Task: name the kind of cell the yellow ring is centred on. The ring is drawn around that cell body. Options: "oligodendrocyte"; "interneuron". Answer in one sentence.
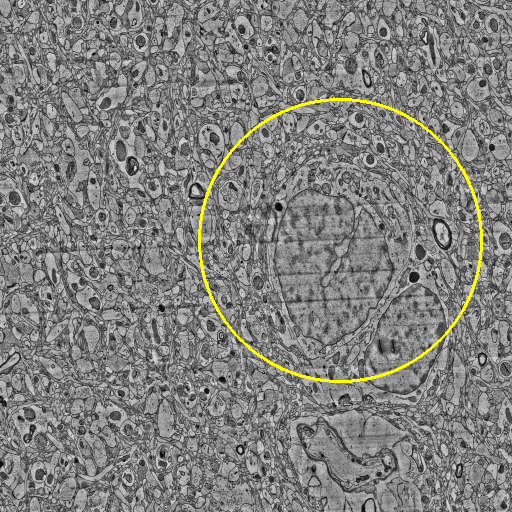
This cell body belongs to an interneuron.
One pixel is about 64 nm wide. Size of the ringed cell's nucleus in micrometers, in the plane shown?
In this plane the nucleus measures roughly 10 by 7 micrometers.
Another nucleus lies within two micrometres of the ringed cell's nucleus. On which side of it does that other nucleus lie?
The other nucleus is situated to the lower right of it.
